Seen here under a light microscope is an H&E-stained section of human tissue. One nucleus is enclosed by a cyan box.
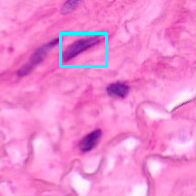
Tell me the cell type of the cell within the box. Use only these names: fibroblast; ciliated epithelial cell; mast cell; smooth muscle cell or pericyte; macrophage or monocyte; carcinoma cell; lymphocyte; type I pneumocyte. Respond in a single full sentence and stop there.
Considered by cell type, the cell within the box is a smooth muscle cell or pericyte.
